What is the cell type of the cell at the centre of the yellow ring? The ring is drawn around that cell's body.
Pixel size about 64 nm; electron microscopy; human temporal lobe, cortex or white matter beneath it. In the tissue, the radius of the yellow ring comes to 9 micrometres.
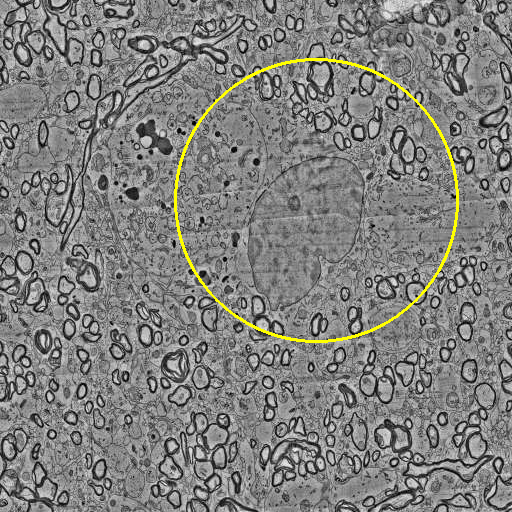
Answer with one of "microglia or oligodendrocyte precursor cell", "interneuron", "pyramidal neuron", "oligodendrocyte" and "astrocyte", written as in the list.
microglia or oligodendrocyte precursor cell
